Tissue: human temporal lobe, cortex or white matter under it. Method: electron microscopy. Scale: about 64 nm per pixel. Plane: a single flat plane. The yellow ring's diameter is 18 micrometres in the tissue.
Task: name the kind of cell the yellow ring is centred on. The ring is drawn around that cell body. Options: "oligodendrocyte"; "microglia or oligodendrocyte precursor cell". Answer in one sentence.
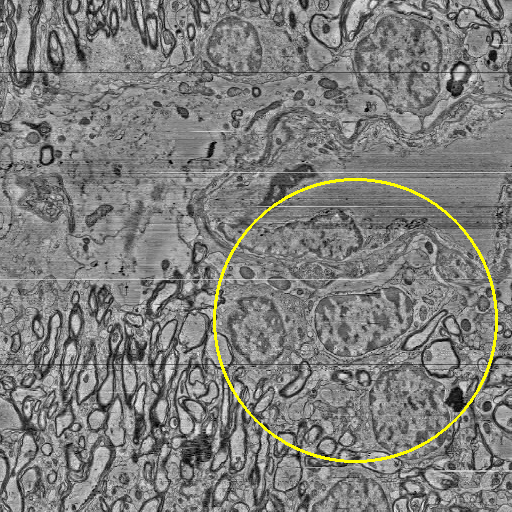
This cell body belongs to a microglial cell or oligodendrocyte precursor cell.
